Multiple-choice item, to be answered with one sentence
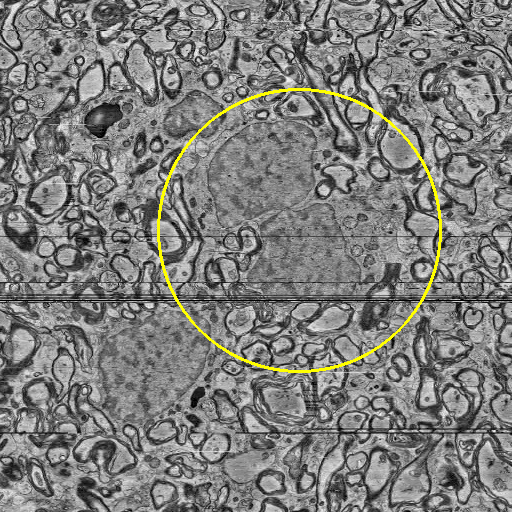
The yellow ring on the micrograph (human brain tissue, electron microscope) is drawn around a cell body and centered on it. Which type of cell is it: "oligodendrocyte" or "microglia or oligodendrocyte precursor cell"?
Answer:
The ring is centered on an oligodendrocyte.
